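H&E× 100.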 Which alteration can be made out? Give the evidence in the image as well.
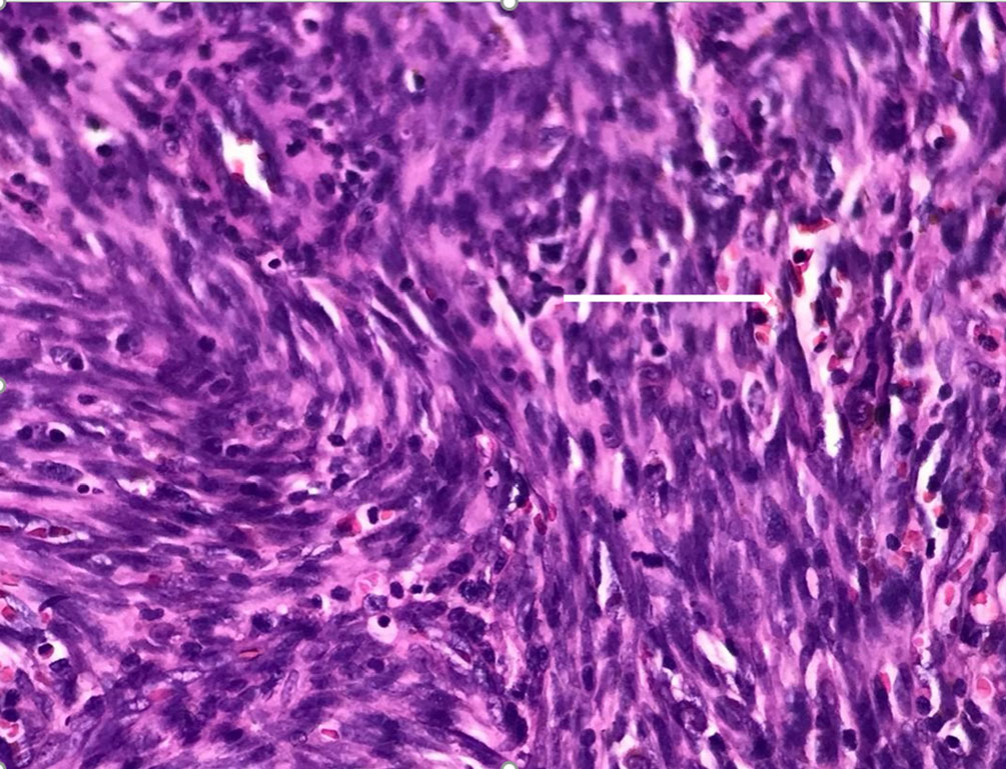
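Densely packed cells with elongated, spindle-shaped dark nuclei. The cells run in sweeping, intersecting fascicles. Little intervening stroma between the cells.
Hence: spindle cell proliferation.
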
